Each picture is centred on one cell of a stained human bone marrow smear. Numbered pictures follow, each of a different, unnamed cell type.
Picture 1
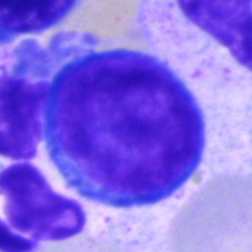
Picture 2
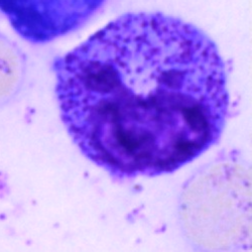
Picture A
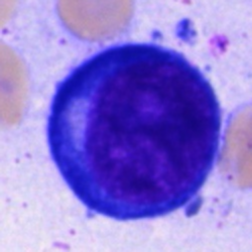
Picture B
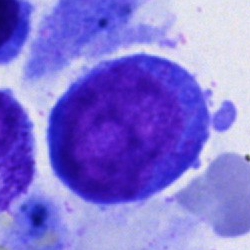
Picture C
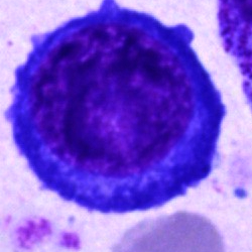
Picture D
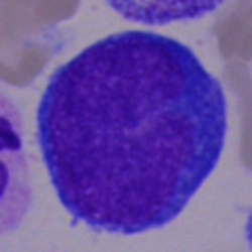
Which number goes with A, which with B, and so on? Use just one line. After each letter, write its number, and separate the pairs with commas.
A 1, B 1, C 1, D 1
